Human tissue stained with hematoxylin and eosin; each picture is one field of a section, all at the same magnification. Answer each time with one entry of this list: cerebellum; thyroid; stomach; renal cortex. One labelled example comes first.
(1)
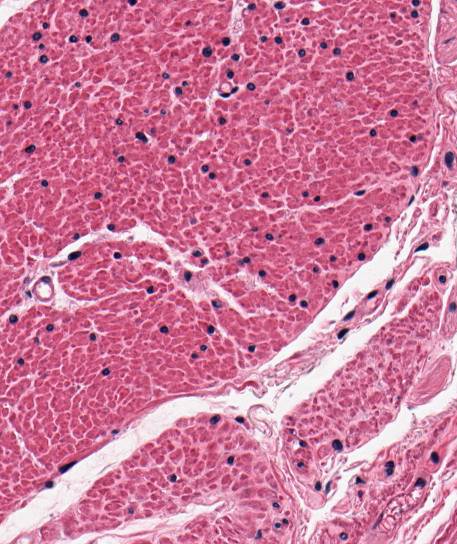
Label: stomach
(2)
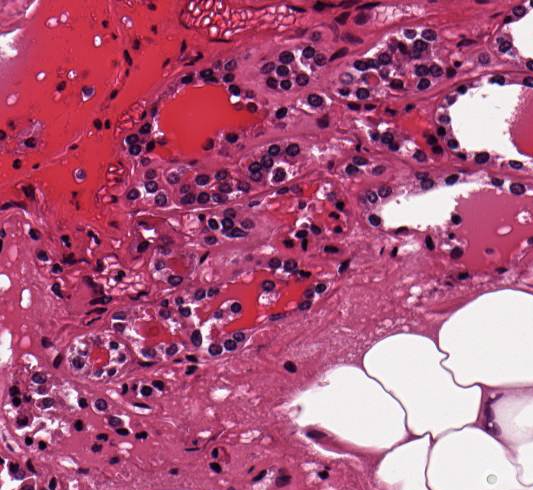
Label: thyroid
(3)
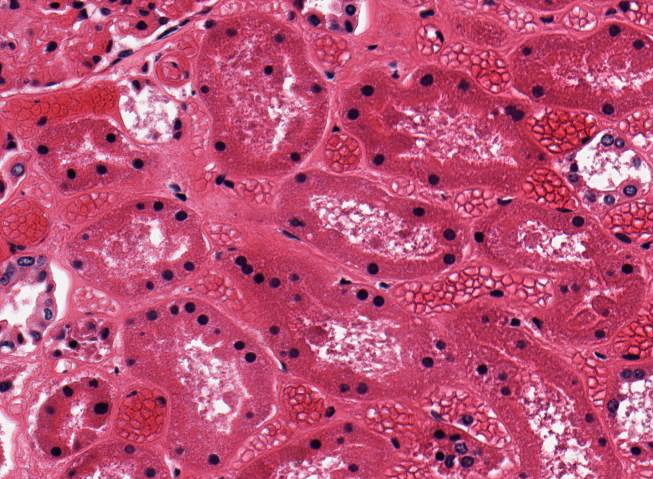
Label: renal cortex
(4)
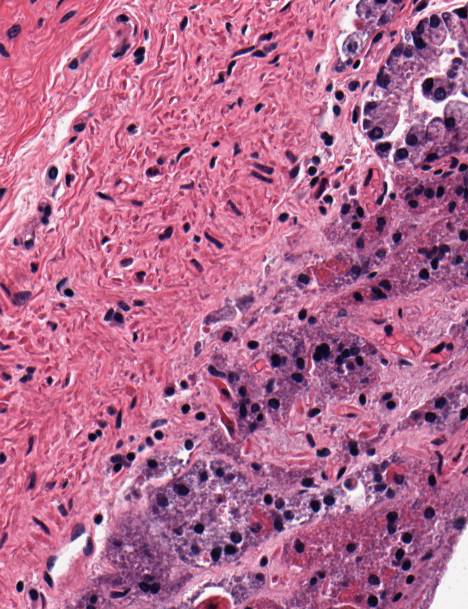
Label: stomach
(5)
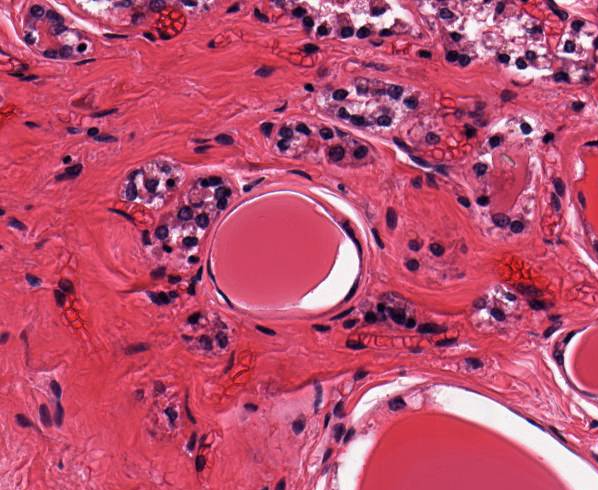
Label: thyroid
